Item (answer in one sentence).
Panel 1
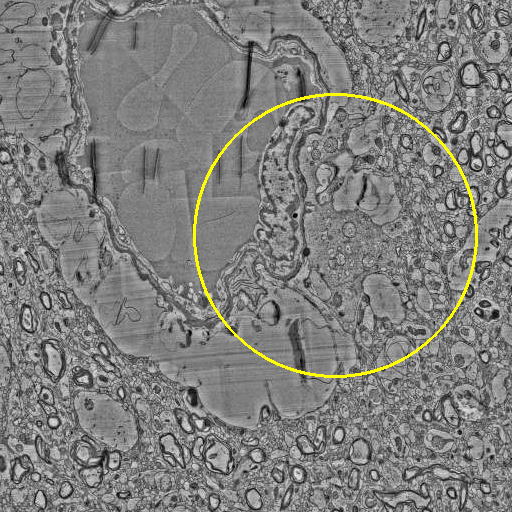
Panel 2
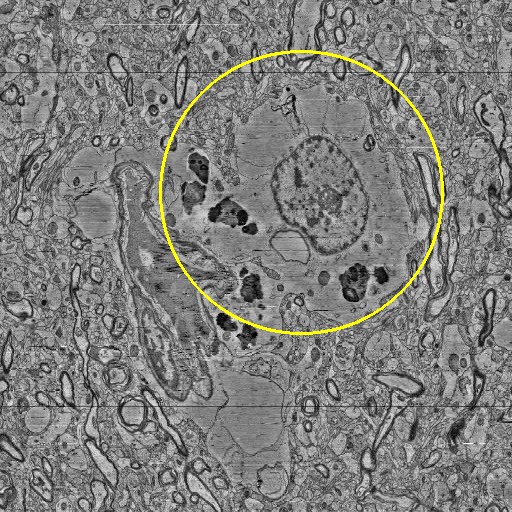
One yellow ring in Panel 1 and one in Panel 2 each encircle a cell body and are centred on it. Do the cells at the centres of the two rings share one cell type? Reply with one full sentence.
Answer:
No, Panel 1 and Panel 2 show cells of two types at the centres of their rings.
